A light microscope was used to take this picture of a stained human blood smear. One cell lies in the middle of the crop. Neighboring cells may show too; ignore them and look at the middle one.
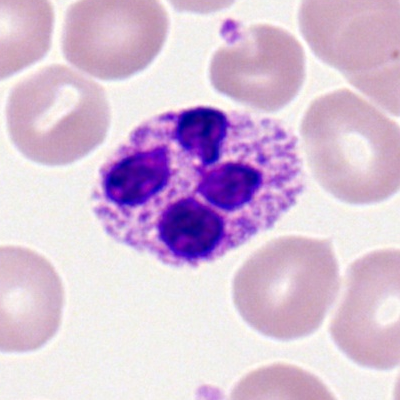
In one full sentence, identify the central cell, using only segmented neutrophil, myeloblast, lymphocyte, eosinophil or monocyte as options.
Where the crop is centred, there is a segmented neutrophil.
